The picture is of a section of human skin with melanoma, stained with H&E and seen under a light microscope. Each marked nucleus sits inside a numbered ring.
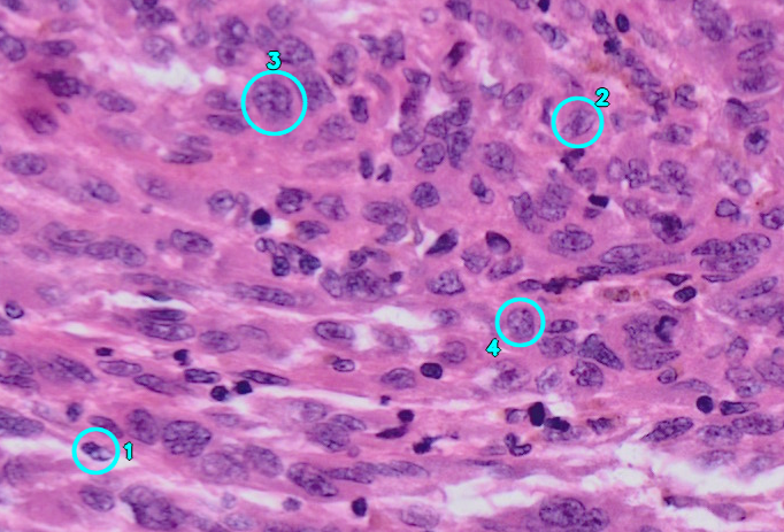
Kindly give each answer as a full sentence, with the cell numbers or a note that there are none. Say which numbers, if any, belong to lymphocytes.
Cell 1 is a lymphocyte, while all remaining marked cells are of other types.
